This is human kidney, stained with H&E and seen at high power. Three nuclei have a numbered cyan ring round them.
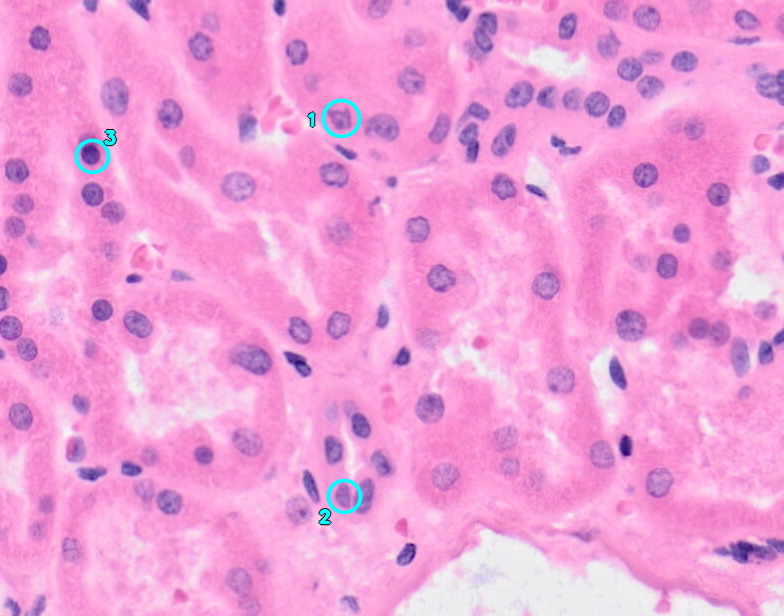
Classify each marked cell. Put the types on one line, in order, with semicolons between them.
proximal tubule cell; collecting duct cell; proximal tubule cell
